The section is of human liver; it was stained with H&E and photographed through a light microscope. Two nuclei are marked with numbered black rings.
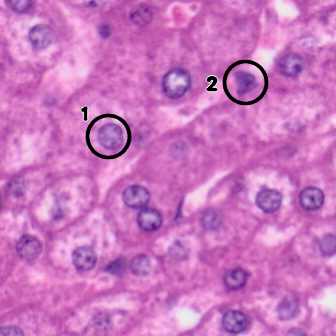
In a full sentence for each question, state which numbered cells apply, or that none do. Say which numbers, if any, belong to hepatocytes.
Among the numbered cells, the one that is a hepatocyte is cell 1 alone.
